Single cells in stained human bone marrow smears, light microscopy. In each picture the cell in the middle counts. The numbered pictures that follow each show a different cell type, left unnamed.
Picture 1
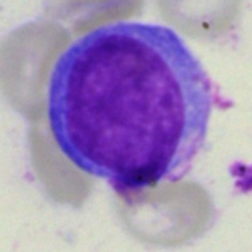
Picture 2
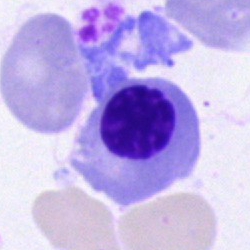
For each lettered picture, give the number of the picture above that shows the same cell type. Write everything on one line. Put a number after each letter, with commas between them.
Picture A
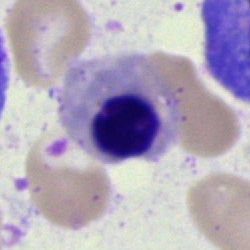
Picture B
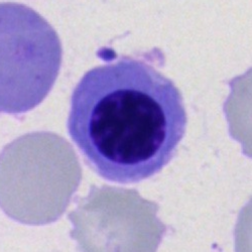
A 2, B 2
